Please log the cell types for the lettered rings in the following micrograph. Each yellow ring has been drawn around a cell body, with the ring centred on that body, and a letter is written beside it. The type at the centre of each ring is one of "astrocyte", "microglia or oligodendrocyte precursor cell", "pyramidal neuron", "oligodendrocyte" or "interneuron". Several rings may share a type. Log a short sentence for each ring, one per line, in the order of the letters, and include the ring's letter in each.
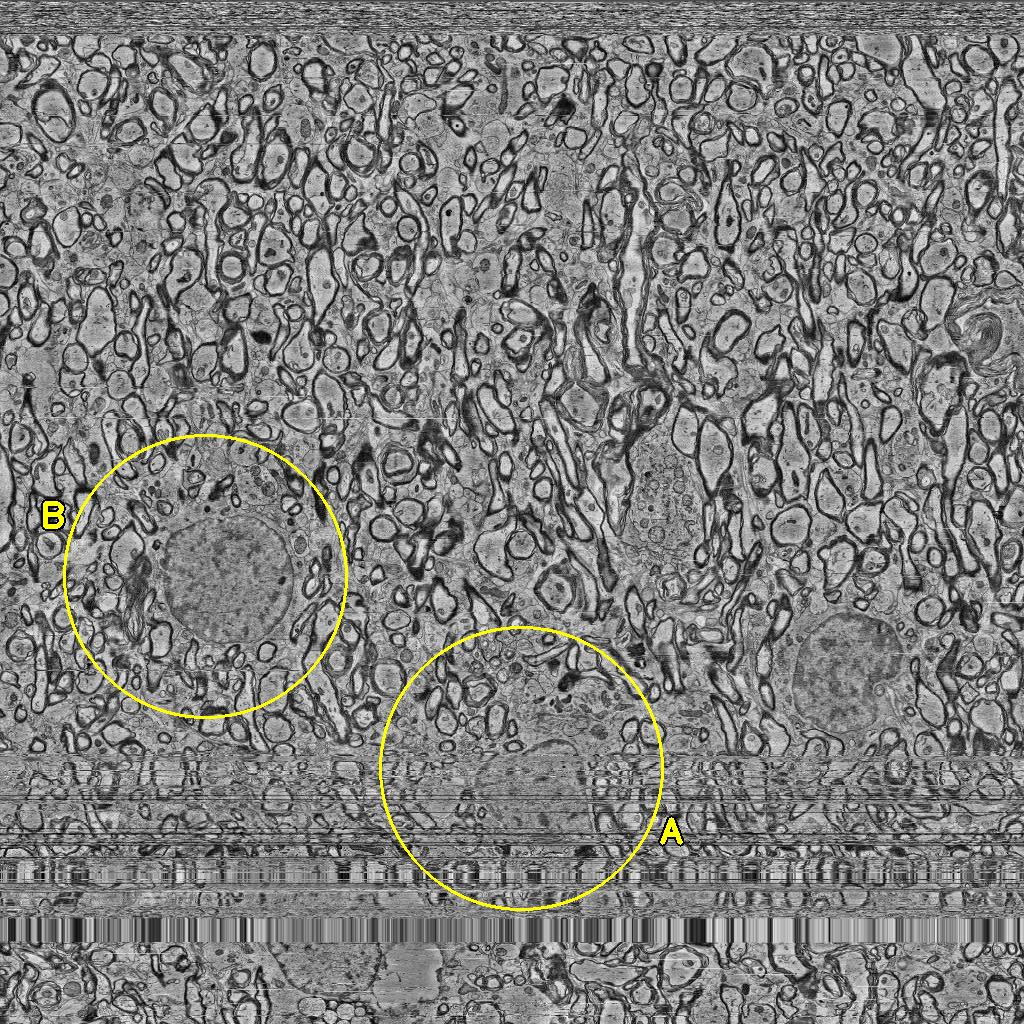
In ring A the central cell is a microglial cell or oligodendrocyte precursor cell.
In ring B the central cell is an oligodendrocyte.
